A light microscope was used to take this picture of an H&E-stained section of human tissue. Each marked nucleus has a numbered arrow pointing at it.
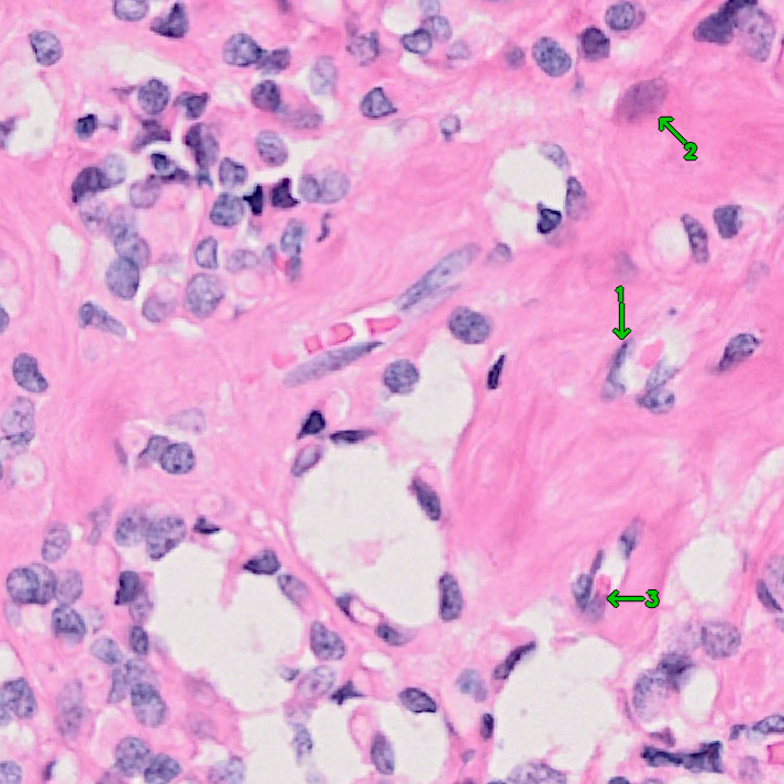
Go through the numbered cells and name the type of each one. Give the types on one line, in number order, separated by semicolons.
endothelial cell; fibroblast; endothelial cell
